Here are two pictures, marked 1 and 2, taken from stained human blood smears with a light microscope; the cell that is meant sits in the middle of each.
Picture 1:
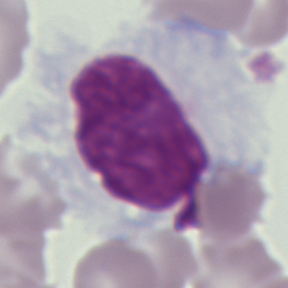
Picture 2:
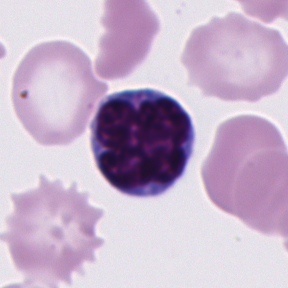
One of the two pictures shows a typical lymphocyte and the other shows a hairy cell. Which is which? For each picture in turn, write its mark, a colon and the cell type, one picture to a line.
1: hairy cell
2: typical lymphocyte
